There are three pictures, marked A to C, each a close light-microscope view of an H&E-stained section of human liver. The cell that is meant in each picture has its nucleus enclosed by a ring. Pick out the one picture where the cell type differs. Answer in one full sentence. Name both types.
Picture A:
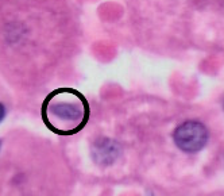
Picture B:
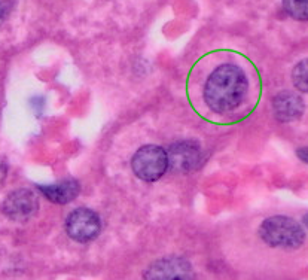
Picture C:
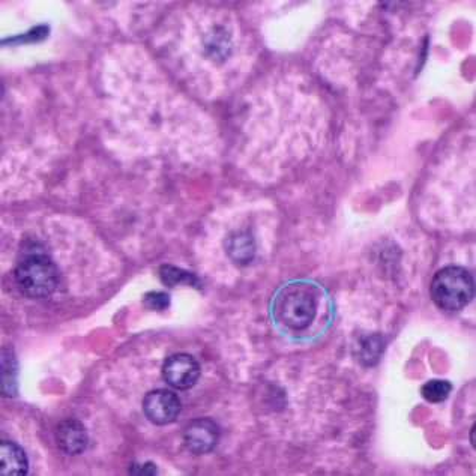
All pictures except A show hepatocytes; picture A shows a Kupffer cell.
